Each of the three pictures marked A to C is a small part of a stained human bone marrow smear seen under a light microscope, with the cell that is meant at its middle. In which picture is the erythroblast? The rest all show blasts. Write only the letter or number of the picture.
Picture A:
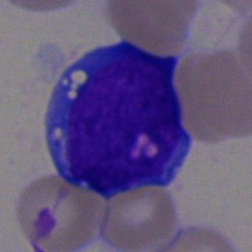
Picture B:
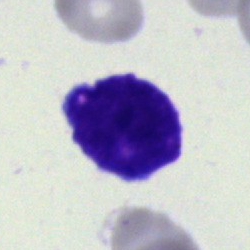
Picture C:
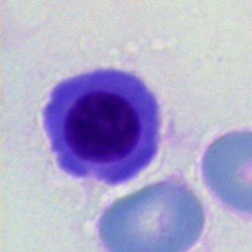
C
